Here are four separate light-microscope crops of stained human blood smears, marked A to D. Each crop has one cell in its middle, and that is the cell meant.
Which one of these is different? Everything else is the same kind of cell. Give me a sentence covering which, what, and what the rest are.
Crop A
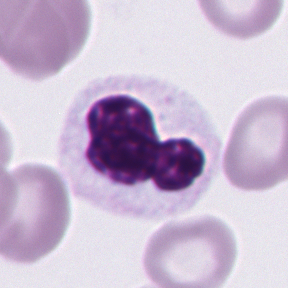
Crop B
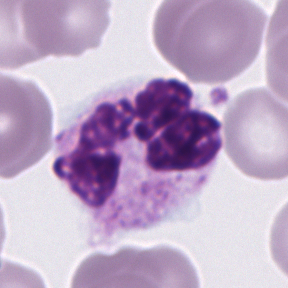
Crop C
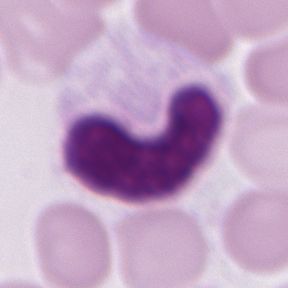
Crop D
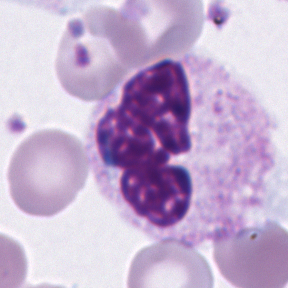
Although the other crops all show segmented neutrophils, crop C shows a band neutrophil.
